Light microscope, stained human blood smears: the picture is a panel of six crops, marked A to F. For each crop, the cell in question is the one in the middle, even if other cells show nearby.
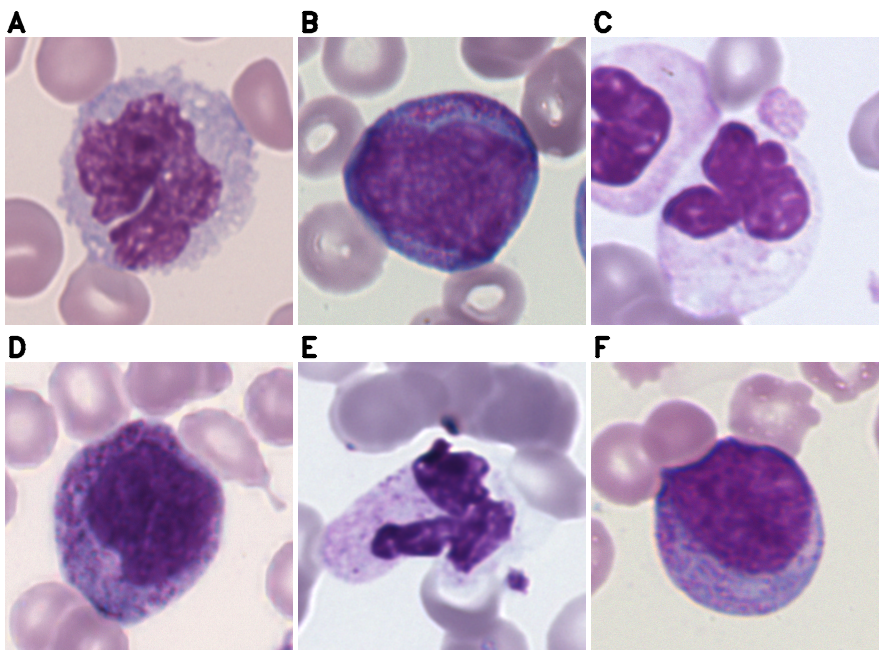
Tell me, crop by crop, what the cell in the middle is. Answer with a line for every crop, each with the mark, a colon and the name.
A: monocyte
B: promyelocyte
C: segmented neutrophil
D: promyelocyte
E: segmented neutrophil
F: promyelocyte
